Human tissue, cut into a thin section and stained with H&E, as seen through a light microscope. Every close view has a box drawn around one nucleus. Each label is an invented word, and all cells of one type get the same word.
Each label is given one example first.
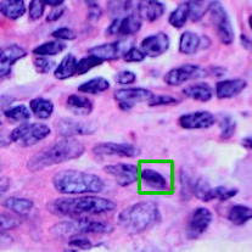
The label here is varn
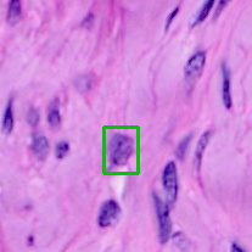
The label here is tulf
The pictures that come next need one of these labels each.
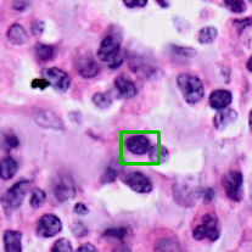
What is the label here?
varn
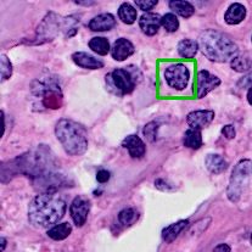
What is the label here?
varn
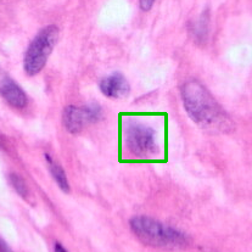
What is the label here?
tulf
